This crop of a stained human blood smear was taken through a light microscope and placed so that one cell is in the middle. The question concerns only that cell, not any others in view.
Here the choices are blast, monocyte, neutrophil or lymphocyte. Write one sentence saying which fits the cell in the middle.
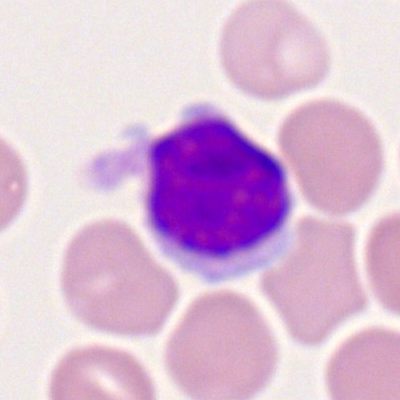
Centrally within this crop lies a lymphocyte.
